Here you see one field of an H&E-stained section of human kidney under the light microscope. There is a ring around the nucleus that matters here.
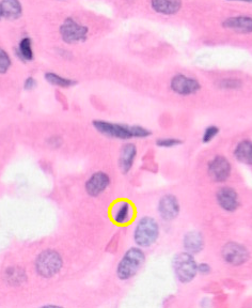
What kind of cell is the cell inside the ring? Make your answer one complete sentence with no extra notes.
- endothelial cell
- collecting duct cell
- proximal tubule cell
It is as an endothelial cell that the cell inside the ring is classified.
